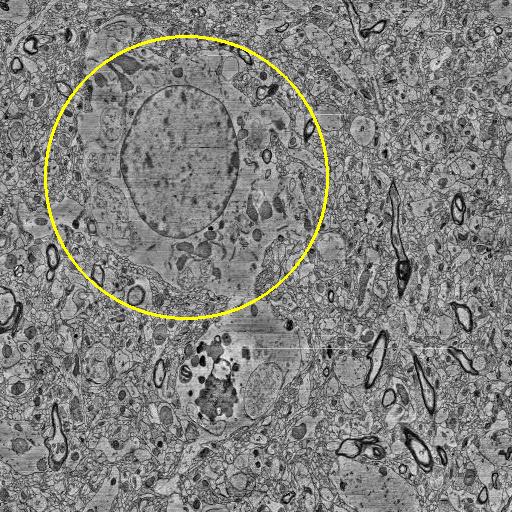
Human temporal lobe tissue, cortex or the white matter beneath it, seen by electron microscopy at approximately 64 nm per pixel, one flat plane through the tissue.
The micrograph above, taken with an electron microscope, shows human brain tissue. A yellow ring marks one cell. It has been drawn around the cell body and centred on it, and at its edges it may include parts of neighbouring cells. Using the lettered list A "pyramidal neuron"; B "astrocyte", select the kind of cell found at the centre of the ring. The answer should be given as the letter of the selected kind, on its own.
B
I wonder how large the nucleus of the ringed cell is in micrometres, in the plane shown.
The ringed cell's nucleus measures approximately 10 by 7 micrometres in this plane.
